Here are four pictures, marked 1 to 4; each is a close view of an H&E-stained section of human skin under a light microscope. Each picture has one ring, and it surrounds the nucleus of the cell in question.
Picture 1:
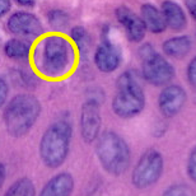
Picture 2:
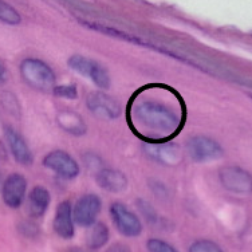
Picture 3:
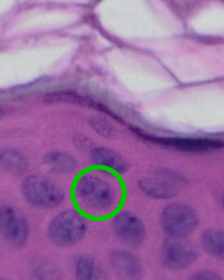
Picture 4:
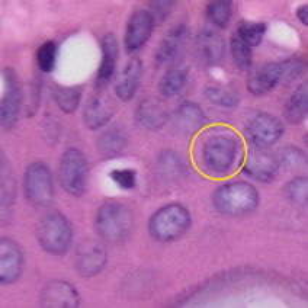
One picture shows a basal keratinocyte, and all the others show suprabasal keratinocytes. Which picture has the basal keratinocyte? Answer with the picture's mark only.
1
